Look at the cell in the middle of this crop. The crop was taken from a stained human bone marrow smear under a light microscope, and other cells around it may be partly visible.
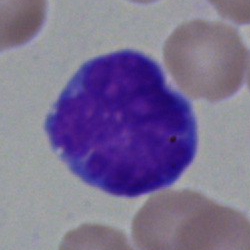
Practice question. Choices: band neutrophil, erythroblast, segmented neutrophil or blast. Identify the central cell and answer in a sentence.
In the crop, the cell of interest at the centre is a blast.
